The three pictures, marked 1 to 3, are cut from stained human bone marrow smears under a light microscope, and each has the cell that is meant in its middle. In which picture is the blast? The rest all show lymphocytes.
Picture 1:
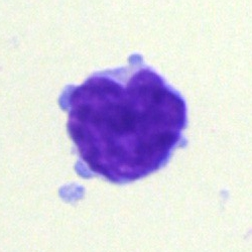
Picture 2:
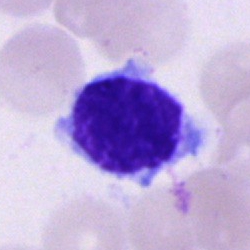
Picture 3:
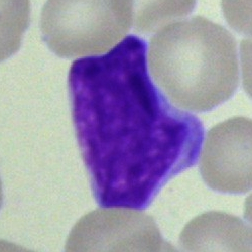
3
